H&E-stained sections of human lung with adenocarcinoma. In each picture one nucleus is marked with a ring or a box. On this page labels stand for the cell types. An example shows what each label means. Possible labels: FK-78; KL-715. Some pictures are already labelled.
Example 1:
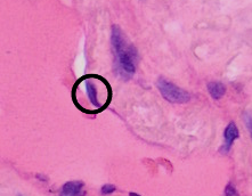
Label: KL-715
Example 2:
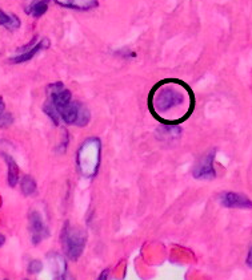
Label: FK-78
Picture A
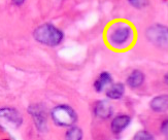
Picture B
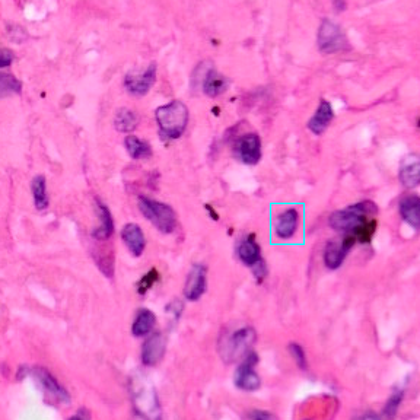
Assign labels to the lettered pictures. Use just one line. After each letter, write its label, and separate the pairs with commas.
A FK-78, B FK-78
